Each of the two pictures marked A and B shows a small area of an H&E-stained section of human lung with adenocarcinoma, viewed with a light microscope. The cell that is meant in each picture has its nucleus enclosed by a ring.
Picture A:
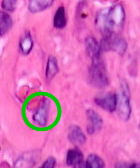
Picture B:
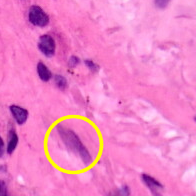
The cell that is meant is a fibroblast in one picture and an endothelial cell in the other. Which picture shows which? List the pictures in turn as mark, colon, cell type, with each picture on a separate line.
A: endothelial cell
B: fibroblast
